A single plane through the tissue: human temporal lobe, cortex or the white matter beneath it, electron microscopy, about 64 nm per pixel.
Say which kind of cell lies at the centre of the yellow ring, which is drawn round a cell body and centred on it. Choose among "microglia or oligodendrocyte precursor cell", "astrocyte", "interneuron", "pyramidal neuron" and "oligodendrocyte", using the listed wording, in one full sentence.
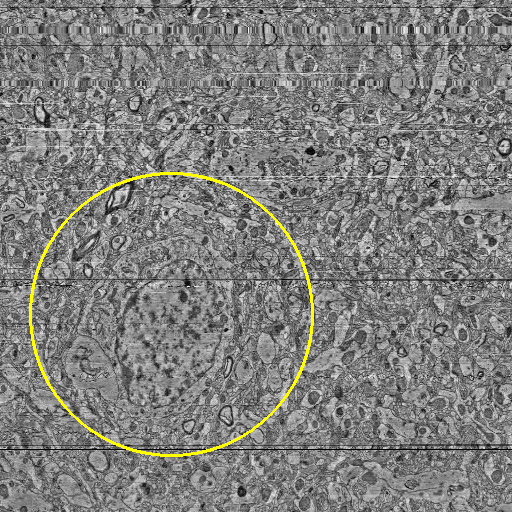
Going by the list, the cell at the yellow ring's centre is an interneuron.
